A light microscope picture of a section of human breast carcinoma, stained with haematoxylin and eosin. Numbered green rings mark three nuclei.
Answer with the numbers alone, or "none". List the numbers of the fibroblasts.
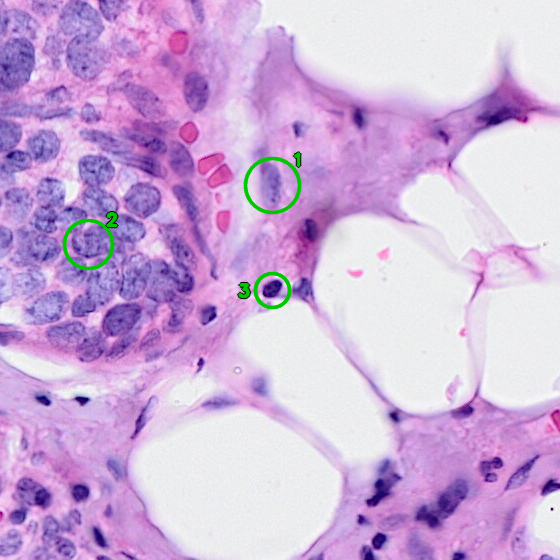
1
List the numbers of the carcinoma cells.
2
